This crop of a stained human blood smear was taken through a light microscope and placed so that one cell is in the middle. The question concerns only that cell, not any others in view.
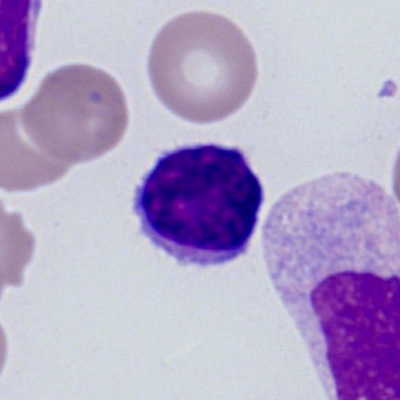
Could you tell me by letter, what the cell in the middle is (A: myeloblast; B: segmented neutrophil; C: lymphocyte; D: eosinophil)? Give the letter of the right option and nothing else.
C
